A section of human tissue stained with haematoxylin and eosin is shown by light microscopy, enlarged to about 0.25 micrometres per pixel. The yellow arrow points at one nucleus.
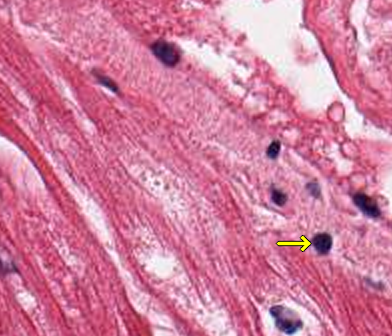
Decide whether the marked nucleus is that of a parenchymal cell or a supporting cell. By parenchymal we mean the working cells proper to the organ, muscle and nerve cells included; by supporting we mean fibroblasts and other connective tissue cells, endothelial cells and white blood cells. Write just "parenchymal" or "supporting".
supporting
